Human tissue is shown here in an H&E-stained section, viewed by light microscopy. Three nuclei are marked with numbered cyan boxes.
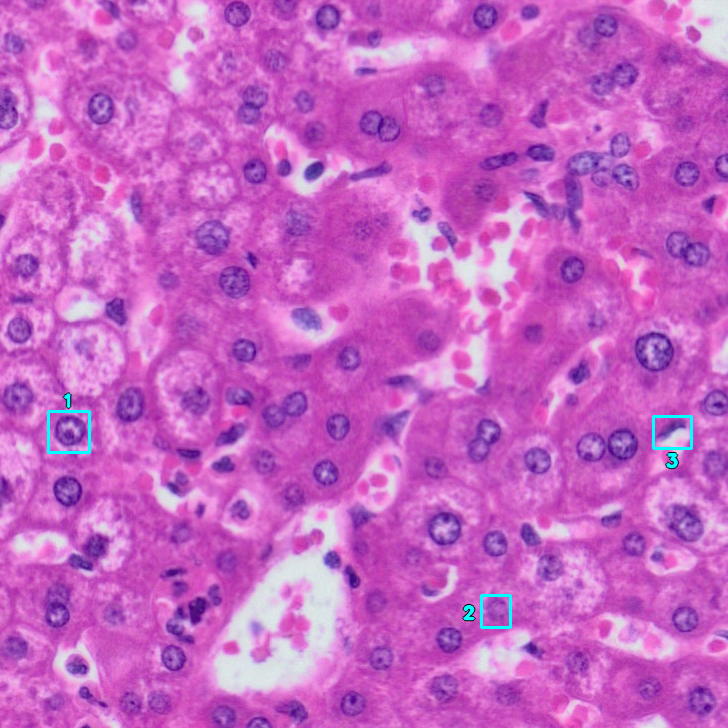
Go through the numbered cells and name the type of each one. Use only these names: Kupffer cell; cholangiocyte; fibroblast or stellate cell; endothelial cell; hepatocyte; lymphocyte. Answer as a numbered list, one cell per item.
1. hepatocyte
2. hepatocyte
3. endothelial cell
